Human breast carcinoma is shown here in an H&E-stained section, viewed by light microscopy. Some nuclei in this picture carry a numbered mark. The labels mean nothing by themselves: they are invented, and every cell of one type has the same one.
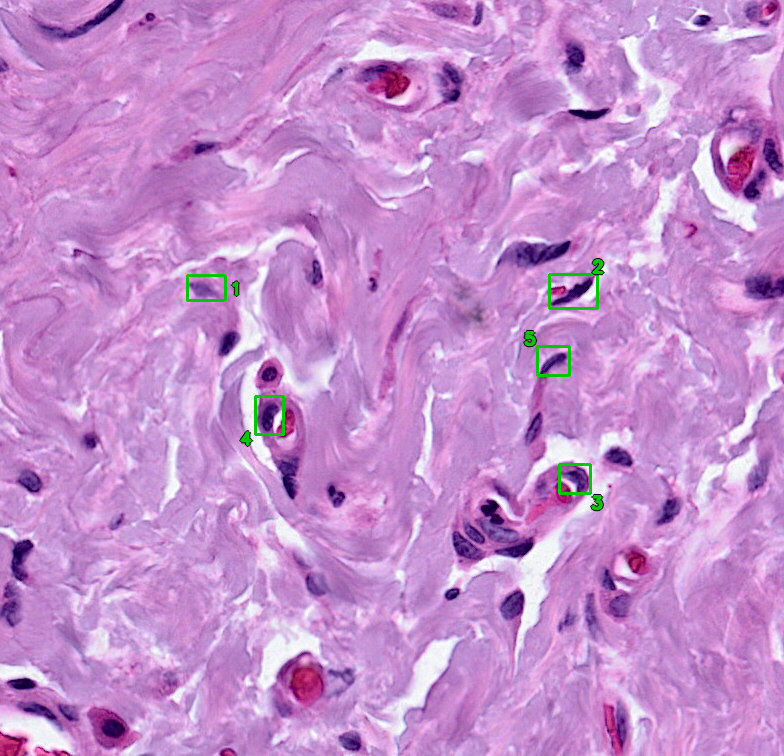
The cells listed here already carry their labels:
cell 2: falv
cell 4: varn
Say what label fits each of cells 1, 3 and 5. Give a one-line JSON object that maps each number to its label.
{"1": "falv", "3": "varn", "5": "falv"}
